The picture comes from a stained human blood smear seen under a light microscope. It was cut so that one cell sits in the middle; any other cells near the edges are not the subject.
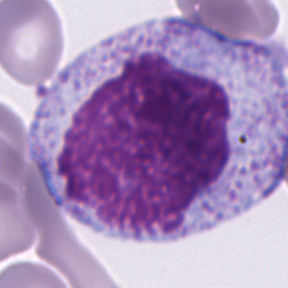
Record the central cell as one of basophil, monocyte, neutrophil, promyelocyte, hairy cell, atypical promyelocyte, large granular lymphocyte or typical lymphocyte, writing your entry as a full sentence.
Seen at the centre of the crop is a promyelocyte.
